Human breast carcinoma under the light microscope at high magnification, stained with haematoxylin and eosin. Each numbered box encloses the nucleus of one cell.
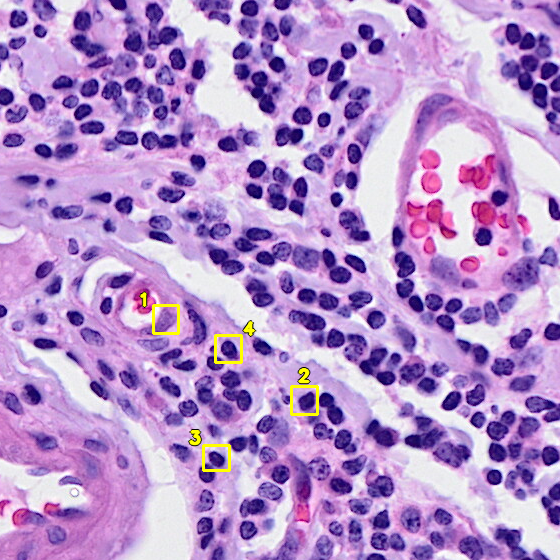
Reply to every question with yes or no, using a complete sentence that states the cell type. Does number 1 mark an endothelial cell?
Yes, in the section, number 1 is an endothelial cell.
